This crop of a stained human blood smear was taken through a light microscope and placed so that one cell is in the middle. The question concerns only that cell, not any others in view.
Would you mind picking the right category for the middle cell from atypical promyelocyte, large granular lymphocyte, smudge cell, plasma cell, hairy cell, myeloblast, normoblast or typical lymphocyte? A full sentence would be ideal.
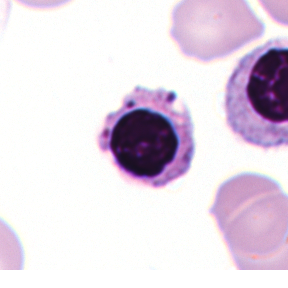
The centrally located cell in the crop is a normoblast.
